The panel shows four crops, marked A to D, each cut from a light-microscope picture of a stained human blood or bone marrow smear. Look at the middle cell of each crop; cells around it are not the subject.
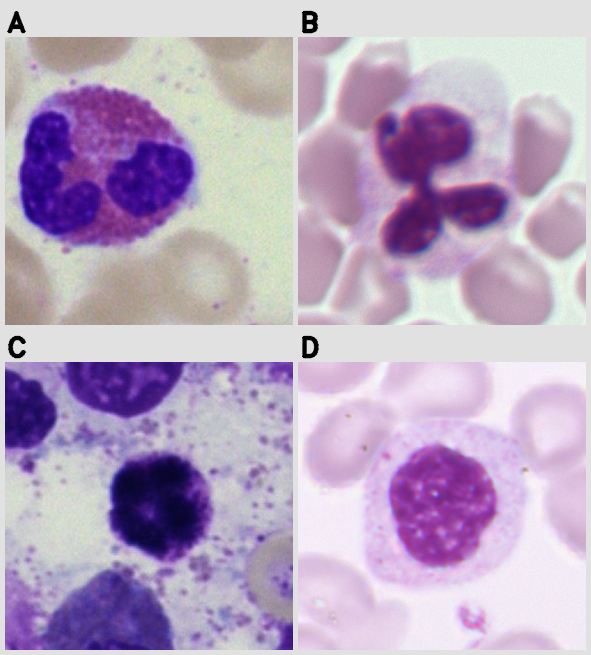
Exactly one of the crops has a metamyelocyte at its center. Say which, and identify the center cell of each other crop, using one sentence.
The crop labelled D shows a metamyelocyte, whereas crop A is an eosinophil, crop B is a segmented neutrophil and crop C is a basophil.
